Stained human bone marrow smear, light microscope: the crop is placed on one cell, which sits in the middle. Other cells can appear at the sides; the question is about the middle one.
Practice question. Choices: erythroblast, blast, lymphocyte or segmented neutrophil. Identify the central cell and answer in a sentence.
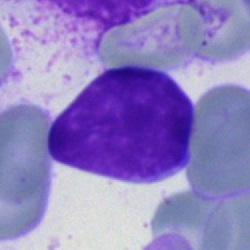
This crop has a blast at its centre.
